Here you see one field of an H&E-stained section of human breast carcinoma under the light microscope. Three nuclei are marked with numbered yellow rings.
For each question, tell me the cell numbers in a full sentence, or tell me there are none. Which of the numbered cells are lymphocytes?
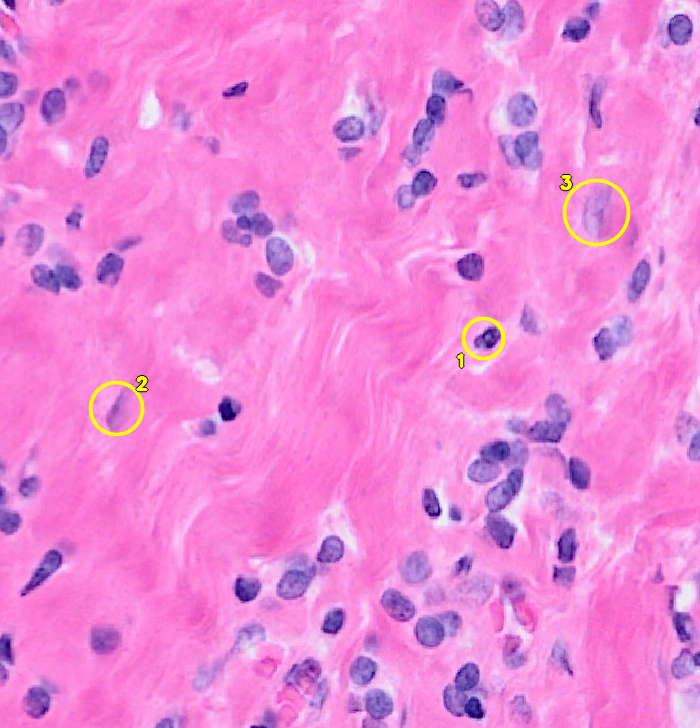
The cell bearing the number 1 is a lymphocyte, unlike the rest of the numbered cells.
